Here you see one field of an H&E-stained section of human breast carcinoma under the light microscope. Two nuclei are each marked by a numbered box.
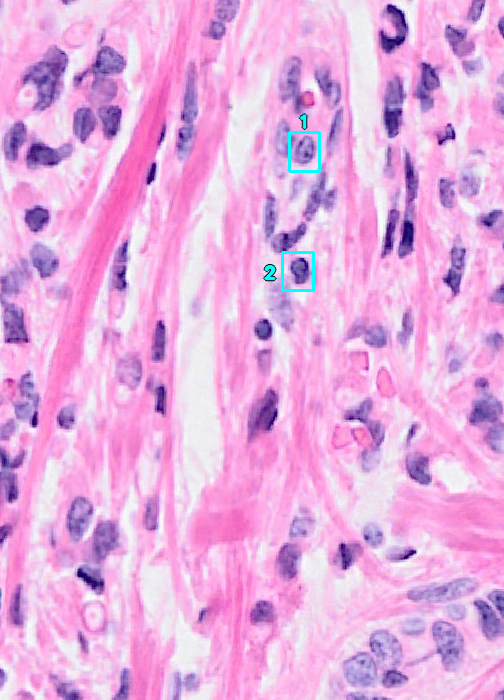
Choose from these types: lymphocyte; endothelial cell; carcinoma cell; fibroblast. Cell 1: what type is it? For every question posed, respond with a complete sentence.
Cell 1 in the field is an endothelial cell.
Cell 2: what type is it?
As for number 2, that cell is a lymphocyte.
